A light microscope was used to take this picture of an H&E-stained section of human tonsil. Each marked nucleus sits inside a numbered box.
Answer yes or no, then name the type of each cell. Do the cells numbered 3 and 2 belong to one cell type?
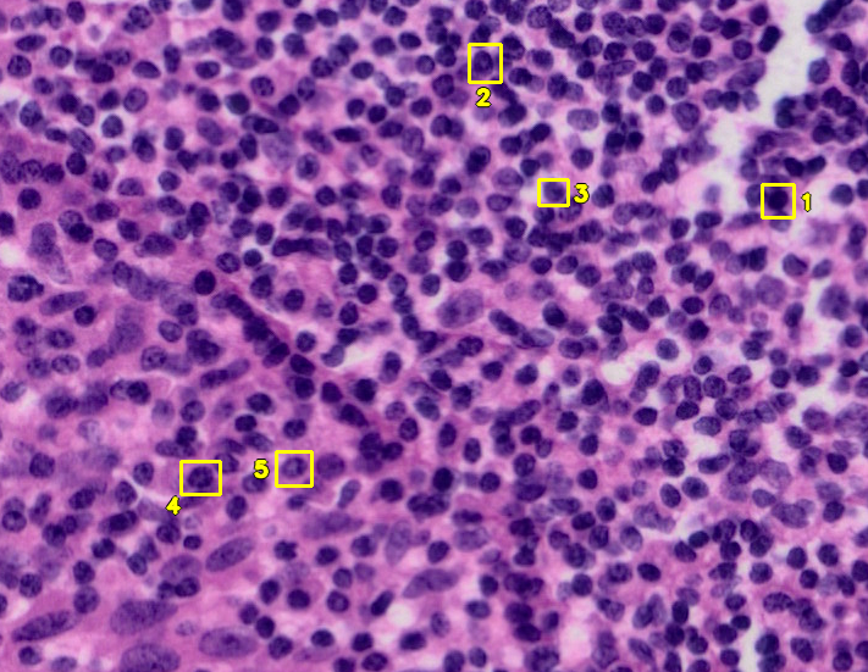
Yes, both are small lymphocytes.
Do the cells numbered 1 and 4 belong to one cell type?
No, cell 1 is a small lymphocyte and cell 4 is a plasma cell.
